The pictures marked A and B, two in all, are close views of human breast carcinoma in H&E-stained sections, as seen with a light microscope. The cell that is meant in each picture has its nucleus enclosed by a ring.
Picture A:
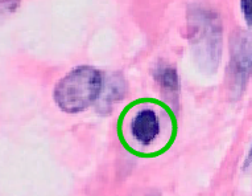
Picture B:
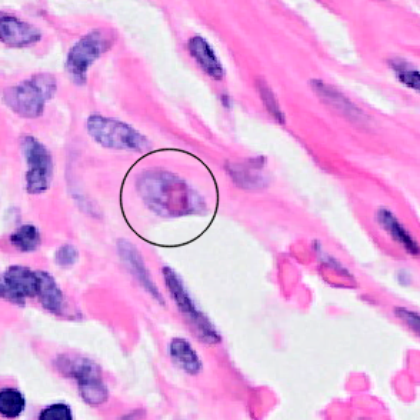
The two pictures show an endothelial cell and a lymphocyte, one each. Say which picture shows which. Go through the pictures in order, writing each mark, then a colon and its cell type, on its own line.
A: lymphocyte
B: endothelial cell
